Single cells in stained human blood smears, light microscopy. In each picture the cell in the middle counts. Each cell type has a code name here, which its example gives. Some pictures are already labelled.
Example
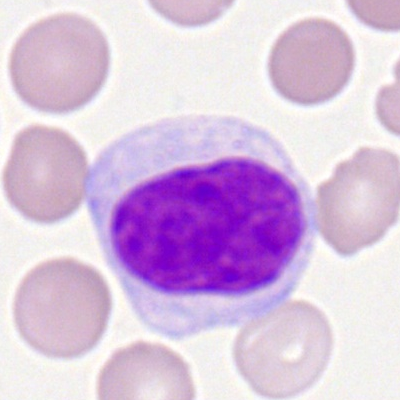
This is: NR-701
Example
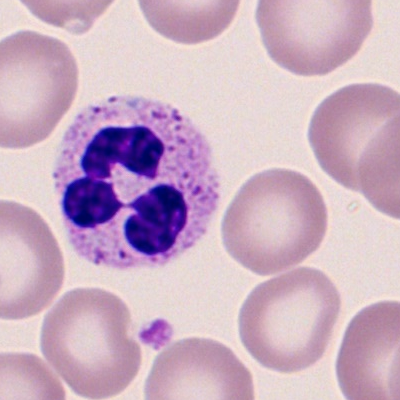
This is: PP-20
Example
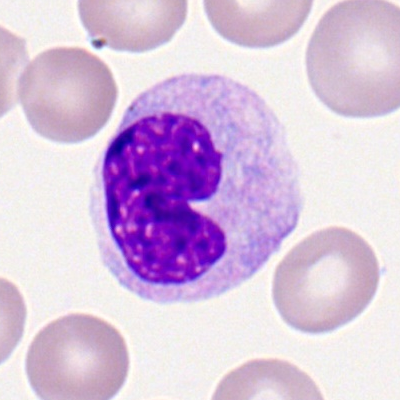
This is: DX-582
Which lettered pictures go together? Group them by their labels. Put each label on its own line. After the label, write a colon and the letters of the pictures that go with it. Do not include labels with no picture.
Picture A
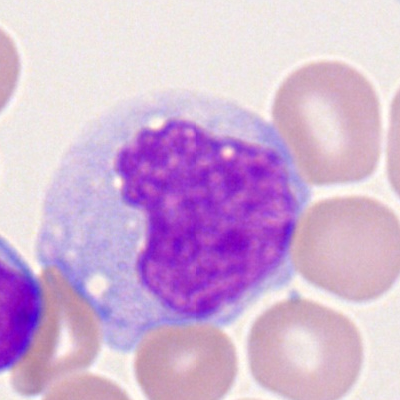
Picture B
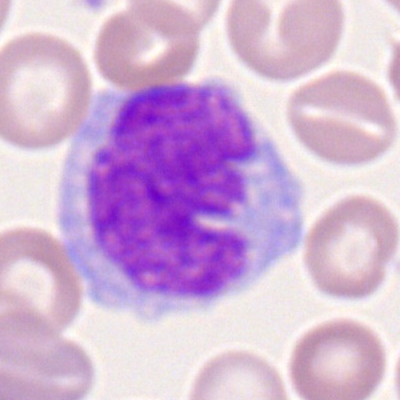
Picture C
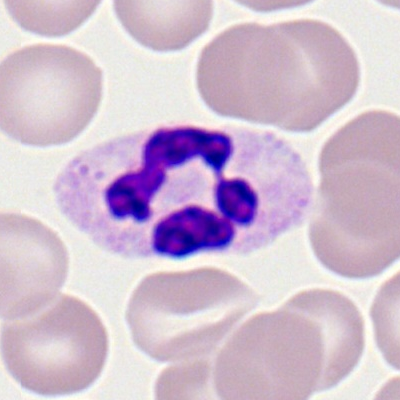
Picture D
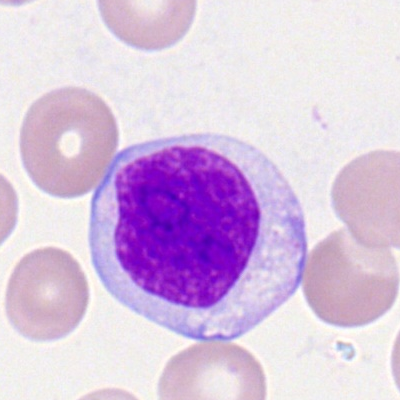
NR-701: D
PP-20: C
DX-582: A, B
